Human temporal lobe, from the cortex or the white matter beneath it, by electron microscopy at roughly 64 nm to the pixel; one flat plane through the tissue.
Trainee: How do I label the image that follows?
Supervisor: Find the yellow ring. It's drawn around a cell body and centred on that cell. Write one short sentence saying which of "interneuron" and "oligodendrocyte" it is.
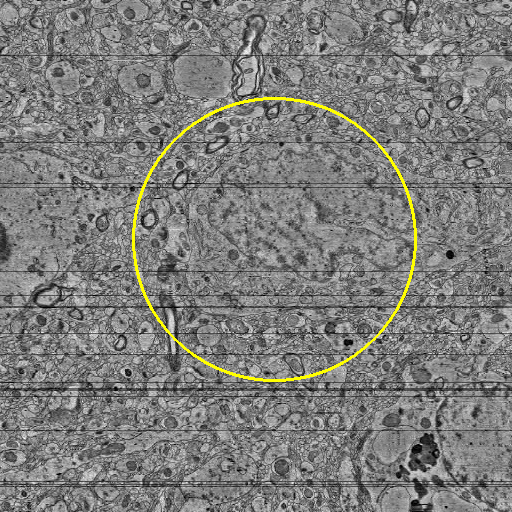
This is the cell body of an interneuron.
